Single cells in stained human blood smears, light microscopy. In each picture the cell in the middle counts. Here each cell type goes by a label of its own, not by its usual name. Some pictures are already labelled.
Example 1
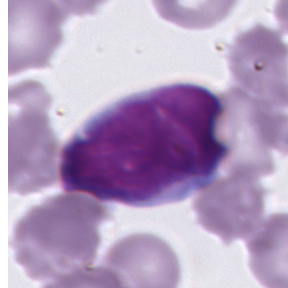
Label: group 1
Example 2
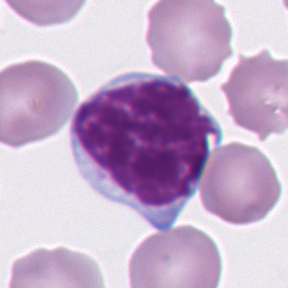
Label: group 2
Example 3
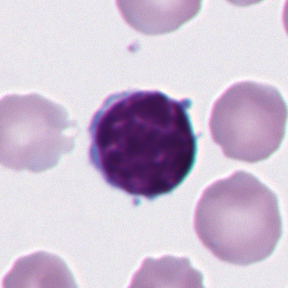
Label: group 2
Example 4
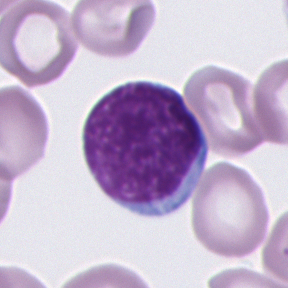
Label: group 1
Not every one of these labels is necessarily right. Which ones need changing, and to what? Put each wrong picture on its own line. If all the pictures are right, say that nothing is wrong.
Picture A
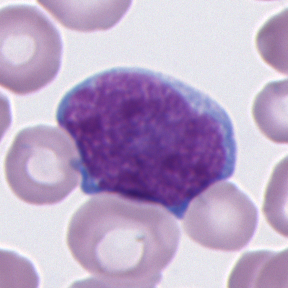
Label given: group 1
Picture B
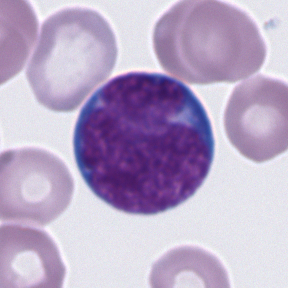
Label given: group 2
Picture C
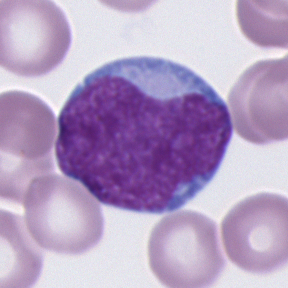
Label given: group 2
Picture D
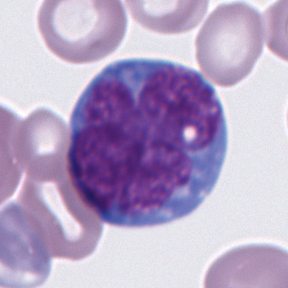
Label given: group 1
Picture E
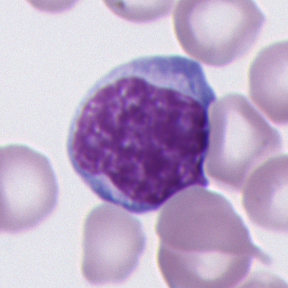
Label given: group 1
Wrong: B (group 2); correct: group 1
Wrong: C (group 2); correct: group 1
